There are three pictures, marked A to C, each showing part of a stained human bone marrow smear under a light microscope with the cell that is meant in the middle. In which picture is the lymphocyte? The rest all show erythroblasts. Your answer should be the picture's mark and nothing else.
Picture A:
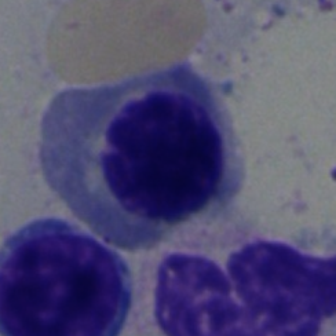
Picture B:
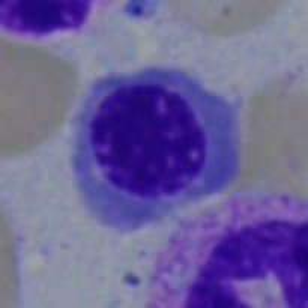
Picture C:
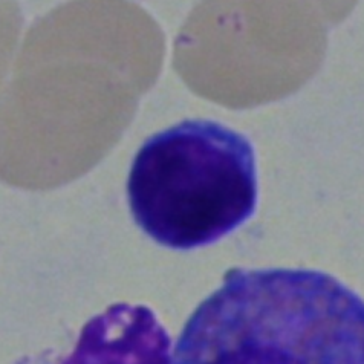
C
